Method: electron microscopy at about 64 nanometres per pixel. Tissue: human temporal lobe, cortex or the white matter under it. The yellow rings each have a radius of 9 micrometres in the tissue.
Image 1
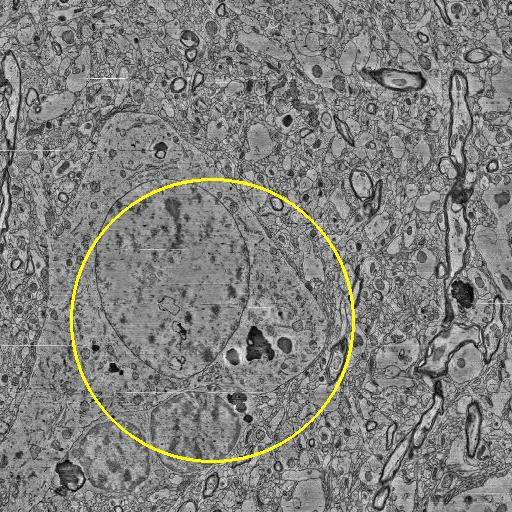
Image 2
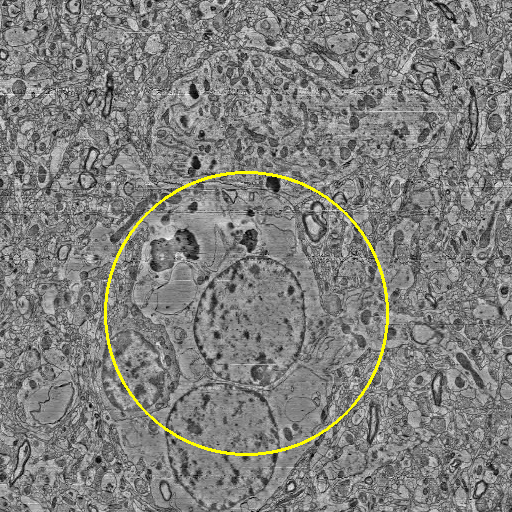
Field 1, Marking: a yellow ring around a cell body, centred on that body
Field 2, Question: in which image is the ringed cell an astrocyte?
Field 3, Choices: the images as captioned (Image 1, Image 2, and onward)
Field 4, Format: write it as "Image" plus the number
Image 2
